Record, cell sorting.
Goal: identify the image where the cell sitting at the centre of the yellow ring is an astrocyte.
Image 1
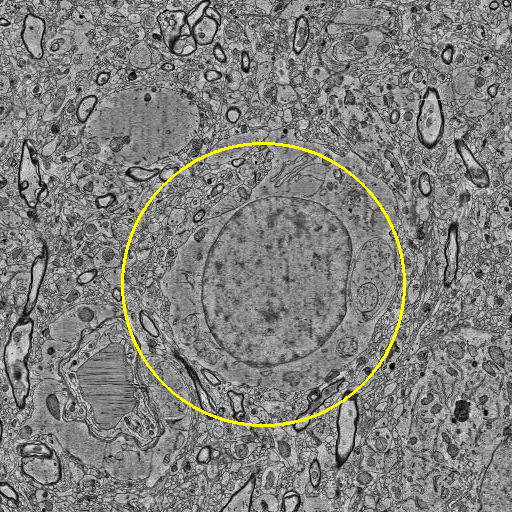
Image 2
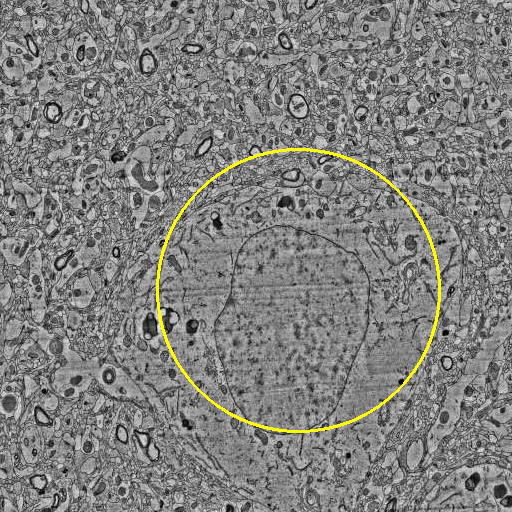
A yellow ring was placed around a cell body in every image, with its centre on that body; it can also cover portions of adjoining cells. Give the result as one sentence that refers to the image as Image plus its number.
Image 1 shows the requested cell sitting right at the centre of its ring.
